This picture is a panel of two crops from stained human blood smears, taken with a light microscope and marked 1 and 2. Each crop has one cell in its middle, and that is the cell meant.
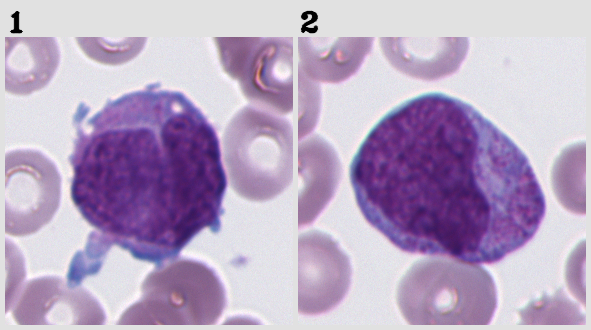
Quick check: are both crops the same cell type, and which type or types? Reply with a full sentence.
Yes, the middle cells in both crops are indeed atypical promyelocytes.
